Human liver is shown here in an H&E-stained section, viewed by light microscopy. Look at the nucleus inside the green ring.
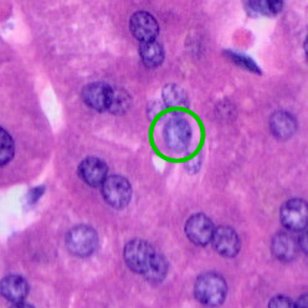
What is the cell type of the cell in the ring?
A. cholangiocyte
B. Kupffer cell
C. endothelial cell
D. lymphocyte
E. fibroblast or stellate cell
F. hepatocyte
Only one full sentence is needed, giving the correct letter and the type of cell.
The correct option, A, describes the cell in the ring as a cholangiocyte.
